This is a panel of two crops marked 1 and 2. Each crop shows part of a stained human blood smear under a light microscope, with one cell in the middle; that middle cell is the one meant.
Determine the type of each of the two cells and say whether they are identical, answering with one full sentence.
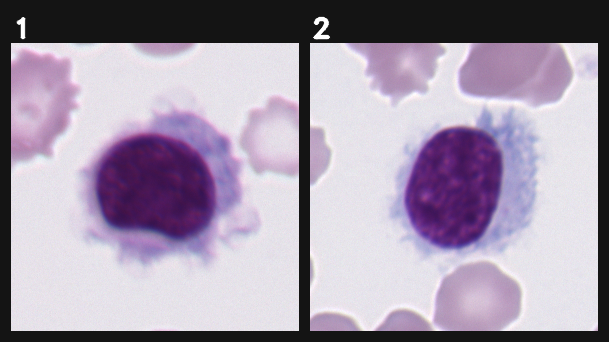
Yes, the central cells in both crops are hairy cells.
